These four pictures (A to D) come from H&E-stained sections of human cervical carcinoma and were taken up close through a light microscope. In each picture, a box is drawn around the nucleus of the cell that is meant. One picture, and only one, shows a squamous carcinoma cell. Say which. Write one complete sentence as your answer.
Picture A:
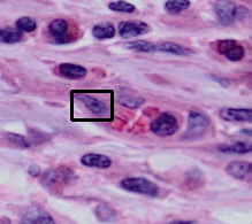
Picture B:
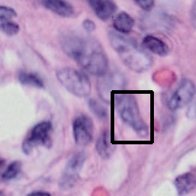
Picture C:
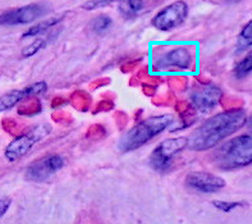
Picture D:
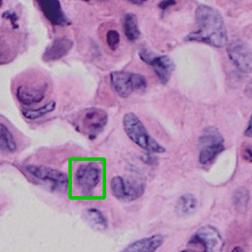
Picture D shows the squamous carcinoma cell.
